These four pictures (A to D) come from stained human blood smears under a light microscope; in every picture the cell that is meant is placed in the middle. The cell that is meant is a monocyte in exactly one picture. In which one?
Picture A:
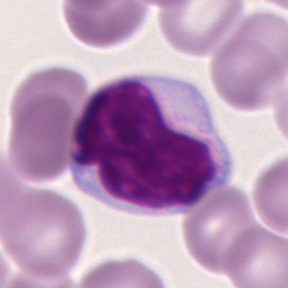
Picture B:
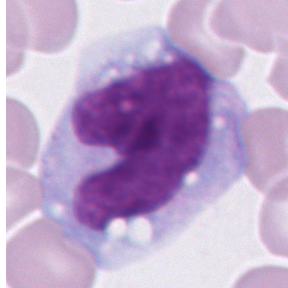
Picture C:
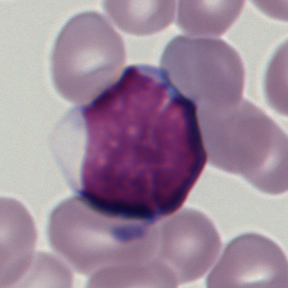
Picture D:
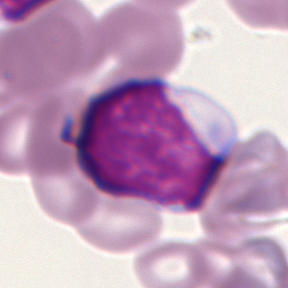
B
